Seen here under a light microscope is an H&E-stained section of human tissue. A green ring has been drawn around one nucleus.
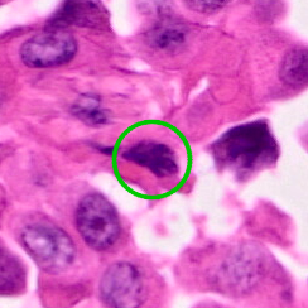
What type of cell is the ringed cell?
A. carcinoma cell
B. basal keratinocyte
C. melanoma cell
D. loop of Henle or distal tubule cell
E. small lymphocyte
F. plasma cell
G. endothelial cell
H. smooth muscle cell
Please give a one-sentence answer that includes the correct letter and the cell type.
Option A is the right one; the ringed cell is a carcinoma cell.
